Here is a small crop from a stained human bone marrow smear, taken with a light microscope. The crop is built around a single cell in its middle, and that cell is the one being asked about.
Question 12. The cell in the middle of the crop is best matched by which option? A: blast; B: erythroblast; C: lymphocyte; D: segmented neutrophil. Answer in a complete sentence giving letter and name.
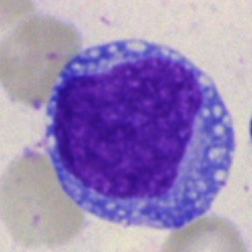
Option A is correct, naming the cell in the middle as a blast.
